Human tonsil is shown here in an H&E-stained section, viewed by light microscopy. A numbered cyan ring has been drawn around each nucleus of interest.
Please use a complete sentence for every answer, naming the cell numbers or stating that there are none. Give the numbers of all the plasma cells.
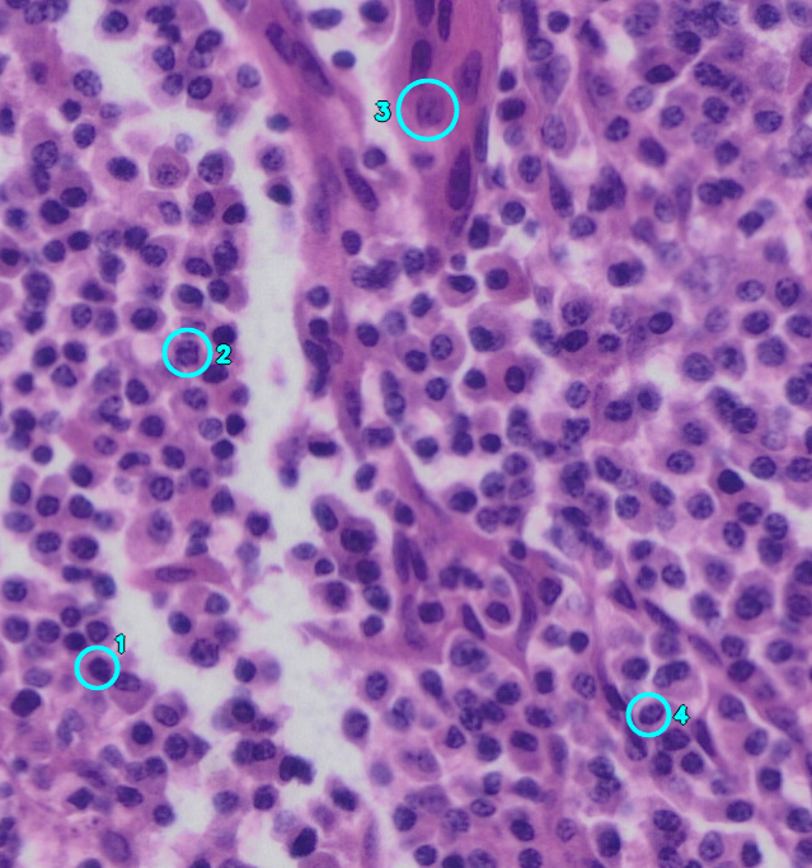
So, the cells with numbers 1, 2 and 4 are plasma cells.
